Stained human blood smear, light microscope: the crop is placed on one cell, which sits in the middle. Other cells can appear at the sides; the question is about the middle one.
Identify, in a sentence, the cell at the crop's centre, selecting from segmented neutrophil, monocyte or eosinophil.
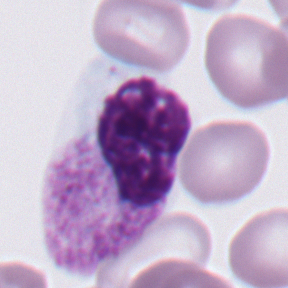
Answering briefly, the cell in the middle is a segmented neutrophil.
